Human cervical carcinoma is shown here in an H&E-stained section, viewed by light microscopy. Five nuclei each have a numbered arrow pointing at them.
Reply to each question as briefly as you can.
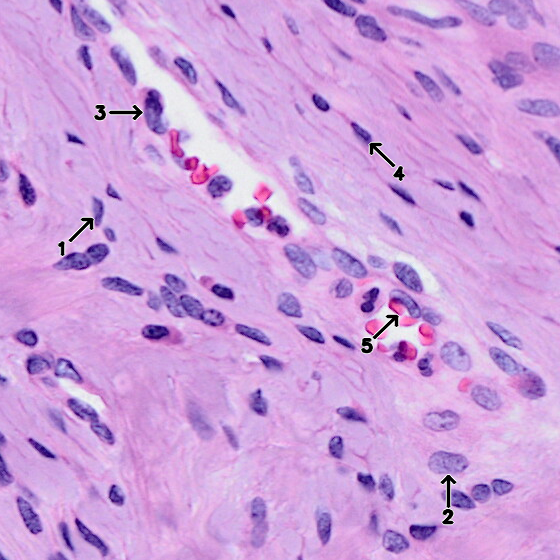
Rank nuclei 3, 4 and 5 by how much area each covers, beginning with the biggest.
3, 5, 4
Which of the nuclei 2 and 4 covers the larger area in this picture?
2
